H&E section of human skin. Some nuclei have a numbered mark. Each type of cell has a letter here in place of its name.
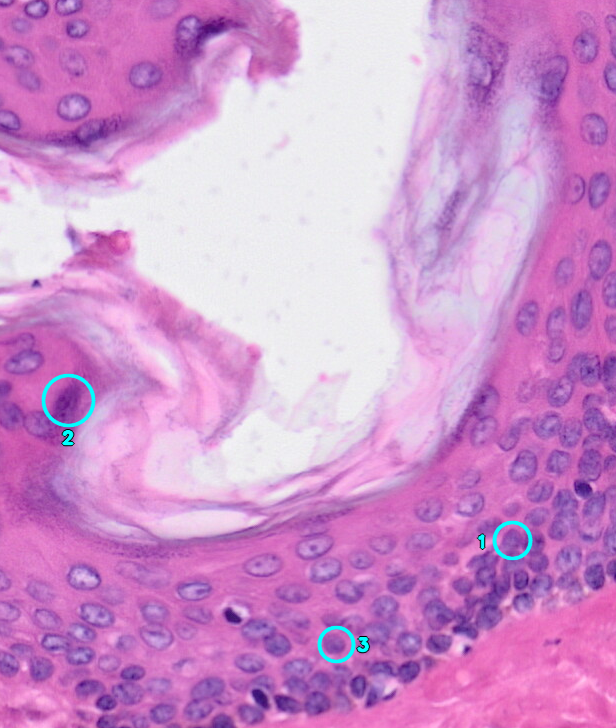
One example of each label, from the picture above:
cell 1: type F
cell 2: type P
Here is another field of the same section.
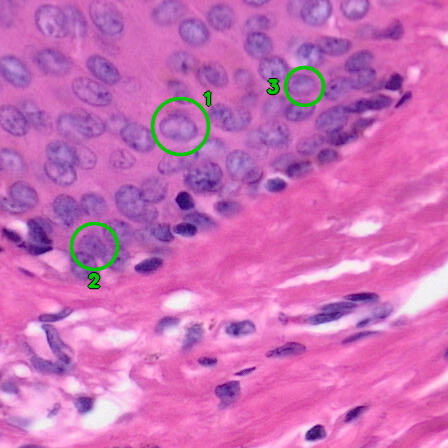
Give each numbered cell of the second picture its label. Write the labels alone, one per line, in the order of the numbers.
type P
type F
type P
